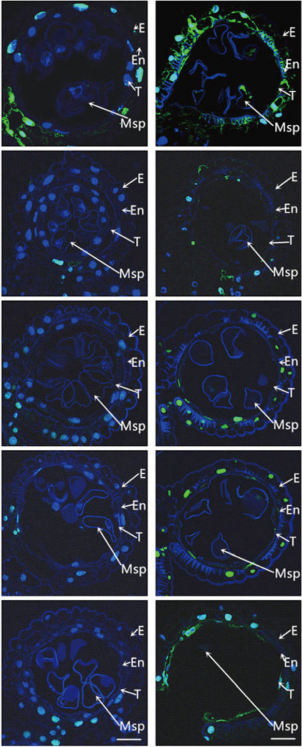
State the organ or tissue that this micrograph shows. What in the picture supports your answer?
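Round sections with a central cavity surrounded by a ring of cell layers.
Answer: anther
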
